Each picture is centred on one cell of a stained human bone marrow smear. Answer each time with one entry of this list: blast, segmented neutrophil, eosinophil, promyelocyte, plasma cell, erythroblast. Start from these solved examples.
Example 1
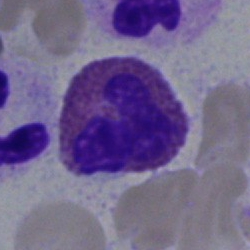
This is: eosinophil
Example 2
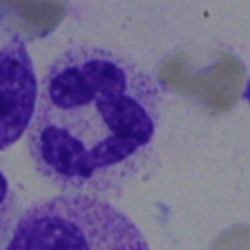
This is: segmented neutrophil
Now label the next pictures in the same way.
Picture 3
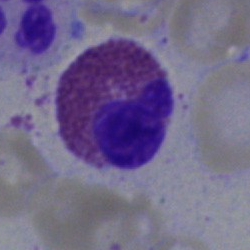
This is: eosinophil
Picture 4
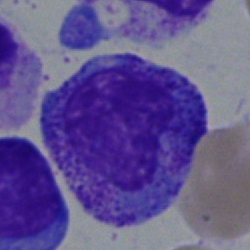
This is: promyelocyte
